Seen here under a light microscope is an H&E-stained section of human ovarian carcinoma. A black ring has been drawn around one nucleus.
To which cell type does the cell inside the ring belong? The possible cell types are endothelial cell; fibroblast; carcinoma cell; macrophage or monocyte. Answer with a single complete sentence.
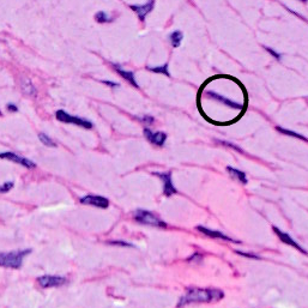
It is as a fibroblast that the cell inside the ring is recorded.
